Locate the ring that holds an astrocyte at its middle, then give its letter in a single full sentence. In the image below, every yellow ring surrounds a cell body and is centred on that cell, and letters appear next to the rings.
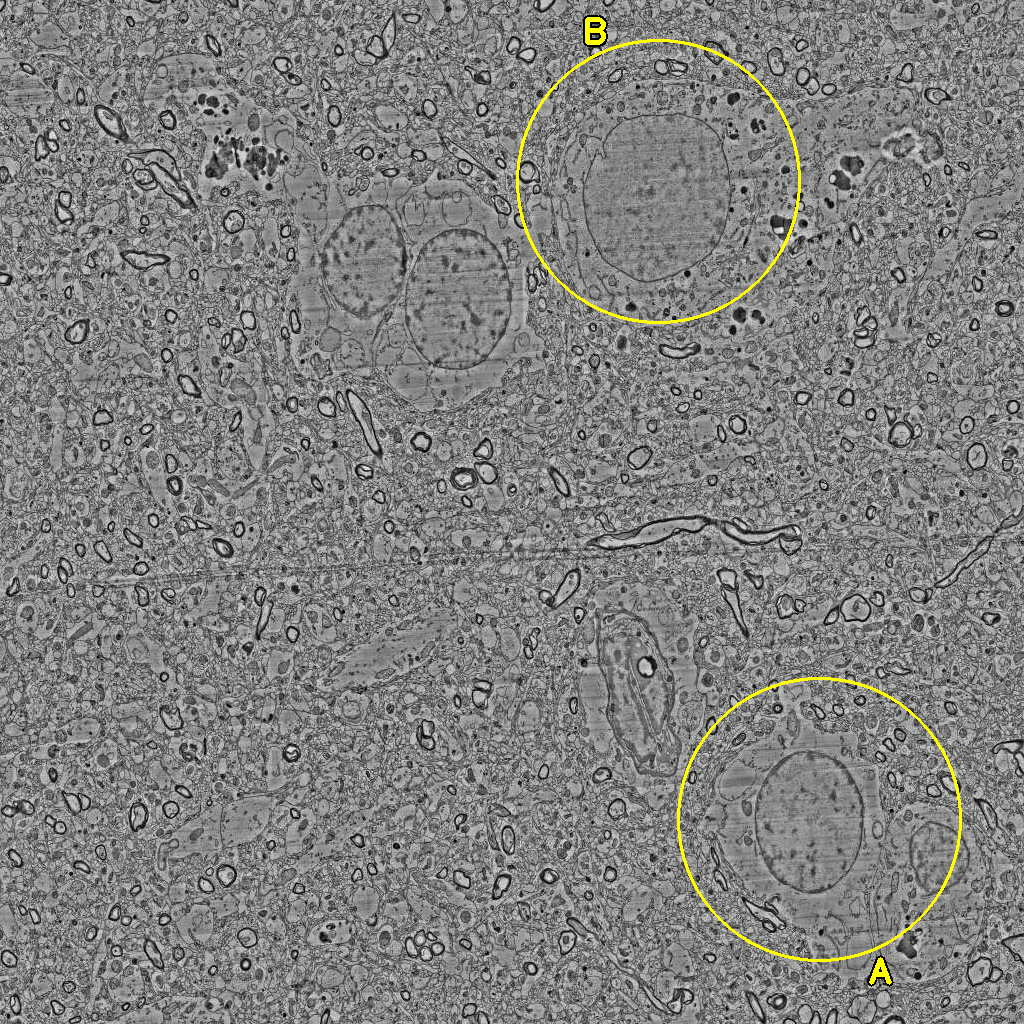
Ring A is the one centred on that kind of cell in the image.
